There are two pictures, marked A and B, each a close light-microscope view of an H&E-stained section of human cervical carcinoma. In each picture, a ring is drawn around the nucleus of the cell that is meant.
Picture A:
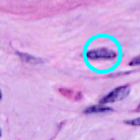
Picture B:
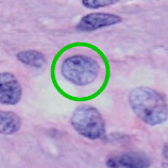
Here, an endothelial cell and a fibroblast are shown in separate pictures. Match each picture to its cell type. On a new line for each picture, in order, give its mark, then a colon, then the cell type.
A: fibroblast
B: endothelial cell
